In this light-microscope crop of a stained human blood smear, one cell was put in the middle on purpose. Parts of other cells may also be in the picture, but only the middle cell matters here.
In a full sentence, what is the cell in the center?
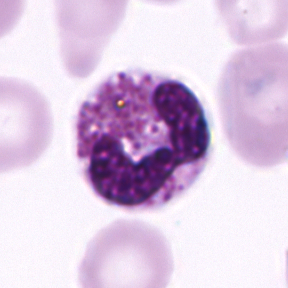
This crop is built around an eosinophil at its centre.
